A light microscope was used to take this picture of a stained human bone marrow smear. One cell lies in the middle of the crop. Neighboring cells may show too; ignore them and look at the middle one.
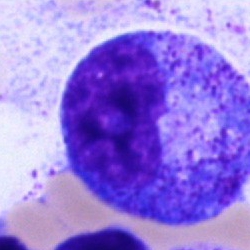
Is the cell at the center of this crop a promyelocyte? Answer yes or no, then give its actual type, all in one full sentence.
Yes, the cell at the very centre of the crop is a promyelocyte.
